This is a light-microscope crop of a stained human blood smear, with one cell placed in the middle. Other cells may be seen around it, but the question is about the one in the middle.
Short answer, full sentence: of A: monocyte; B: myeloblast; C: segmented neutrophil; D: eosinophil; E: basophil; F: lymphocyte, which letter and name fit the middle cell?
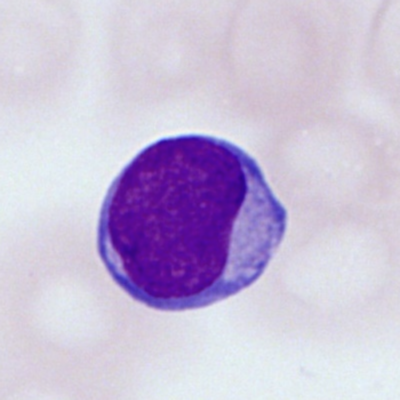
The cell centered in the crop is a myeloblast, making option B the correct pick.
